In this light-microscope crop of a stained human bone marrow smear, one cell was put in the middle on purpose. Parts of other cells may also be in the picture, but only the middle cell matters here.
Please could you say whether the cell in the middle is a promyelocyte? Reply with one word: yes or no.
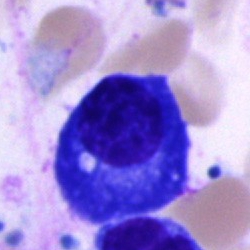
no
